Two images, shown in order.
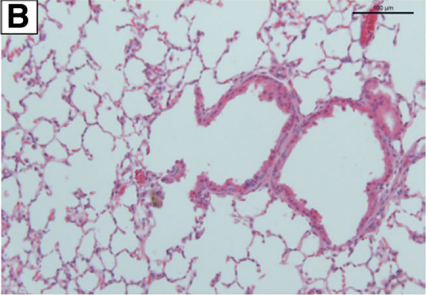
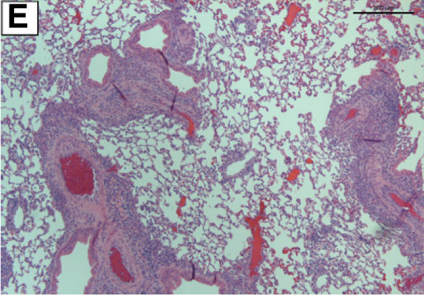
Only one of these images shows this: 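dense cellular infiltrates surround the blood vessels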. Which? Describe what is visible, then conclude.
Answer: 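Second image: thick purple cuffs of cells surround several large vessels. First image: vessels and alveolar walls are thin with no cellular cuffs. On this evidence: the second image.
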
